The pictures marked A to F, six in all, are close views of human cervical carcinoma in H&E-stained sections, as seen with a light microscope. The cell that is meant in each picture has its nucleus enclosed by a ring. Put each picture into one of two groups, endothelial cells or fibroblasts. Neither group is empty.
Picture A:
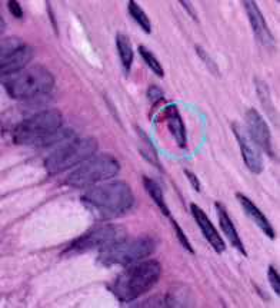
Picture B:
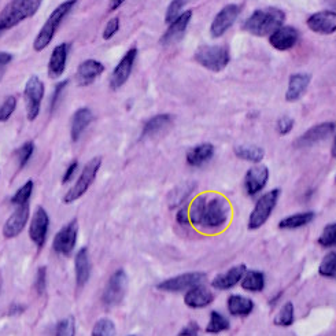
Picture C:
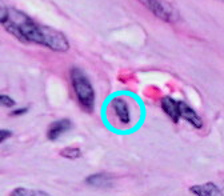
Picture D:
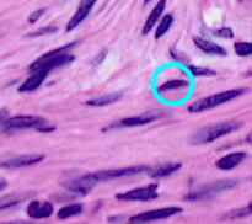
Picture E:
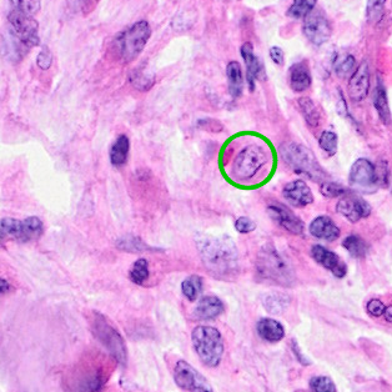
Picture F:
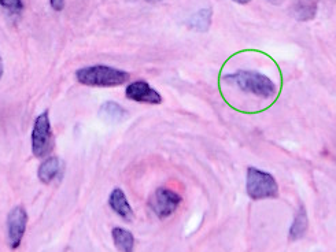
A: endothelial cell
B: endothelial cell
C: endothelial cell
D: fibroblast
E: endothelial cell
F: fibroblast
